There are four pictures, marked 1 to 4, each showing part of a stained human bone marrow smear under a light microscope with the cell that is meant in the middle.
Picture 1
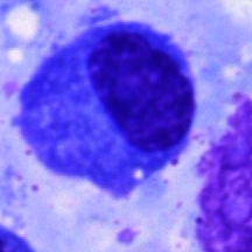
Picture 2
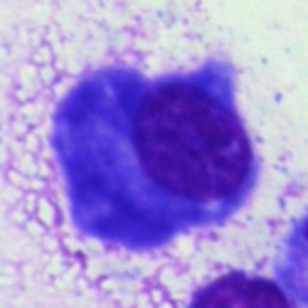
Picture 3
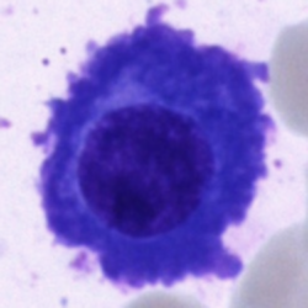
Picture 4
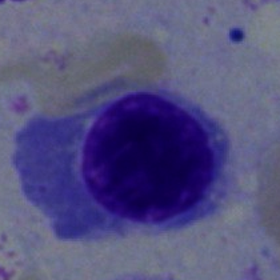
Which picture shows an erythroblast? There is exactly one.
4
